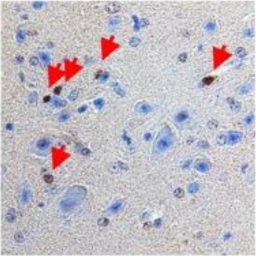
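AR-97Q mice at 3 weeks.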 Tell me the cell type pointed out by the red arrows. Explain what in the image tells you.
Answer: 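The arrows point to small cells with small, dark brown-stained nuclei. Nearby large cells with big pale nuclei and ample blue cytoplasm are not pointed to. The answer: glial cells.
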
